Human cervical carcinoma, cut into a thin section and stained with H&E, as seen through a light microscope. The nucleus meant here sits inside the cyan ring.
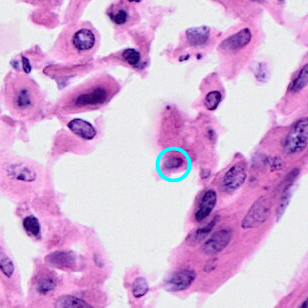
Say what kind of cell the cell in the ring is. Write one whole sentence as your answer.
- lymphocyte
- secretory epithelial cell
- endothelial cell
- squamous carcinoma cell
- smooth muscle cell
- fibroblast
In terms of identity, the cell in the ring is a squamous carcinoma cell.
